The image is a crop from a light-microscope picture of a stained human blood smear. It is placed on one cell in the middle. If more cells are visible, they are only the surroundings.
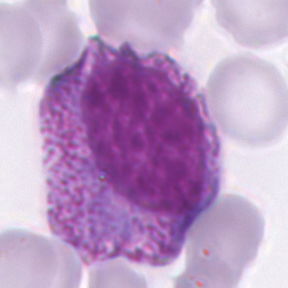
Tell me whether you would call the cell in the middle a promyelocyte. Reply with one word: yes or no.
yes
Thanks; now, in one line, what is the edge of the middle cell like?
Irregular and not smooth, the cell boundary is ragged or drawn out into projections.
